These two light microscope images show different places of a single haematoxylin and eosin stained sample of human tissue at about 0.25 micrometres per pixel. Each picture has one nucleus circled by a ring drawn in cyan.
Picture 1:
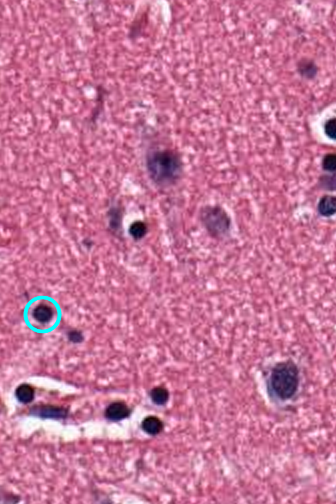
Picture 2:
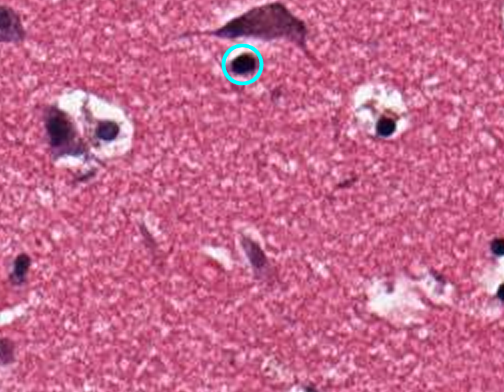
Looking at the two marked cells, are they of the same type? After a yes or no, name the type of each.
Yes, both are oligodendrocytes.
